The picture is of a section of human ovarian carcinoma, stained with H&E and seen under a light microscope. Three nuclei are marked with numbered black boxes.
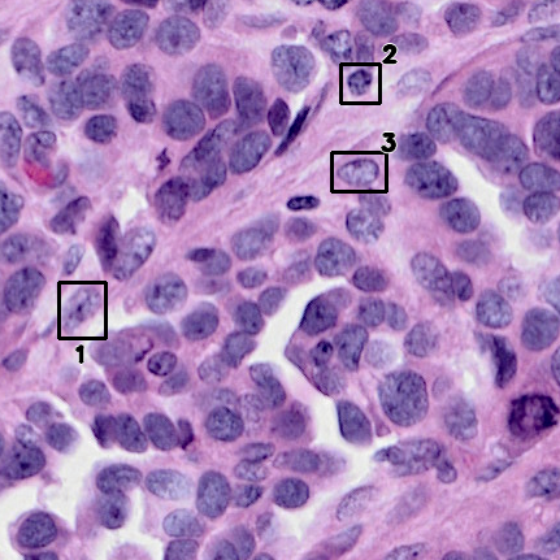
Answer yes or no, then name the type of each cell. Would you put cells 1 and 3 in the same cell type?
Yes, in this section cells 1 and 3 are both fibroblasts.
